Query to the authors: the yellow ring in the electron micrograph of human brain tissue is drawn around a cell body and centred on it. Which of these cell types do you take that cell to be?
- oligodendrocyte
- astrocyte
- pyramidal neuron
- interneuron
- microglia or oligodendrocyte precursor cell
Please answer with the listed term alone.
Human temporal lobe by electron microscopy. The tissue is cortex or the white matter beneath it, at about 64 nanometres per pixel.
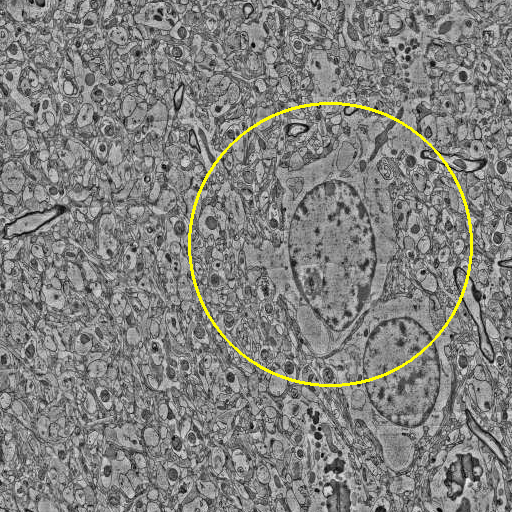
astrocyte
